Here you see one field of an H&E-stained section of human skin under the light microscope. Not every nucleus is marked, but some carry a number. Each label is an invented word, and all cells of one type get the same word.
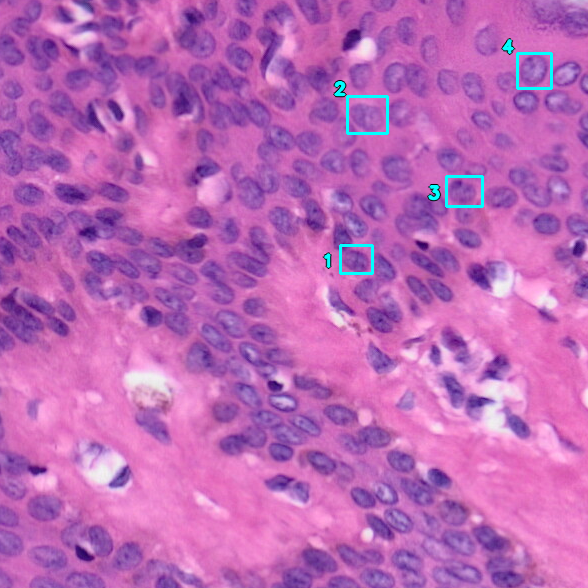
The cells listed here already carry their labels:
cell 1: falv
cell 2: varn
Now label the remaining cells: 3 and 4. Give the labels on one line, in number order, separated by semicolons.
varn; varn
